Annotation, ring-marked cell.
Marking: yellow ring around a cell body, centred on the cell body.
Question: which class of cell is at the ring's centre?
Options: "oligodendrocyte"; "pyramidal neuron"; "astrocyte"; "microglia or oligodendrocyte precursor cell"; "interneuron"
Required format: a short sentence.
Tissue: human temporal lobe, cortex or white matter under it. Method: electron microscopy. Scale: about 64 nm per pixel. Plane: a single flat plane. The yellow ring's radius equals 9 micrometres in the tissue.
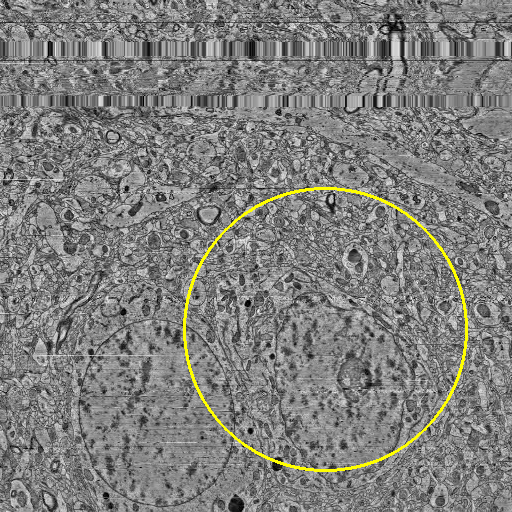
At the ring's centre is an interneuron.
